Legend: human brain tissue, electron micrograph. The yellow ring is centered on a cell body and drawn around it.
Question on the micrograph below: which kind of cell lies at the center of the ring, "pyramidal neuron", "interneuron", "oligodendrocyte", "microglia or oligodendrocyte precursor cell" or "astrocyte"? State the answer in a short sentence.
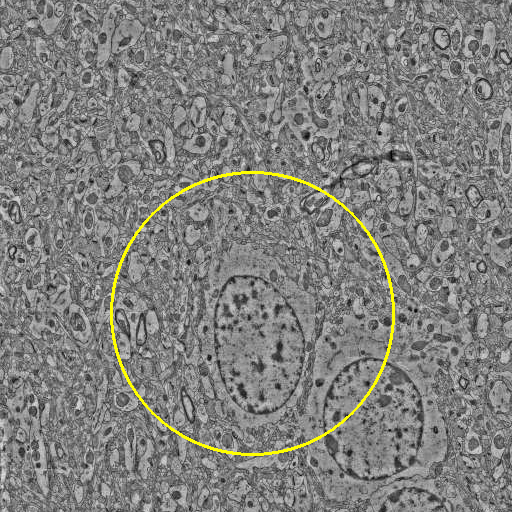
At the center of the ring lies an astrocyte.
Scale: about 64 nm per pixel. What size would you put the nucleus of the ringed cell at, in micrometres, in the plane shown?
About 9 by 6 micrometres; in this plane the nucleus is clearly longer than it is wide.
